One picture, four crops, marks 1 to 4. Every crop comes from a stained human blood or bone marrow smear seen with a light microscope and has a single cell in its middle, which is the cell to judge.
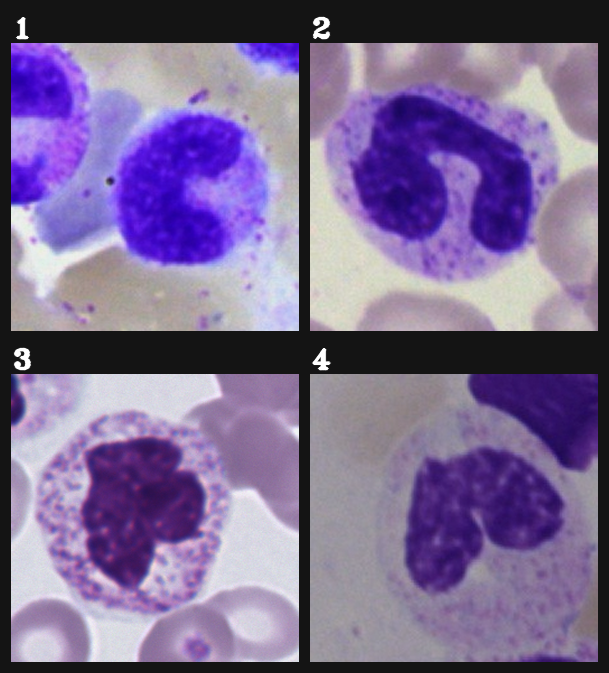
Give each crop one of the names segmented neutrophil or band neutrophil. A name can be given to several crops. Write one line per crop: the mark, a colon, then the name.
1: band neutrophil
2: segmented neutrophil
3: segmented neutrophil
4: segmented neutrophil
